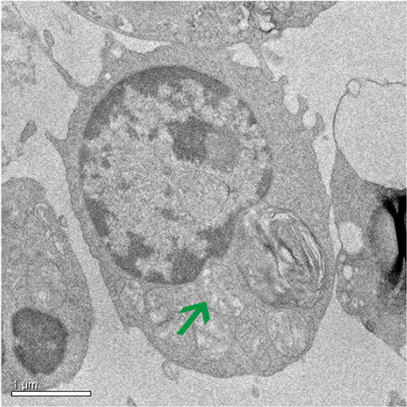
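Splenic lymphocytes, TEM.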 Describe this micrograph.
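The nucleus carries dark clumps of chromatin, several of them lying against the nuclear edge. In the cytoplasm below, the arrow marks rounded mitochondria whose interior looks pale and swollen, with the usual inner folds broken or largely lost. To one side lies a rounded body with curled, layered membranes. Parts of neighbouring cells border it on the left and right.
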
